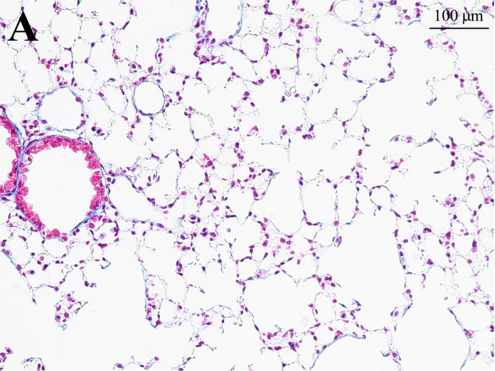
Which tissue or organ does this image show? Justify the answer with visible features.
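Lung. Thin-walled alveolar spaces fill most of the field. A small airway lined by pink-red epithelium sits at the left edge.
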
